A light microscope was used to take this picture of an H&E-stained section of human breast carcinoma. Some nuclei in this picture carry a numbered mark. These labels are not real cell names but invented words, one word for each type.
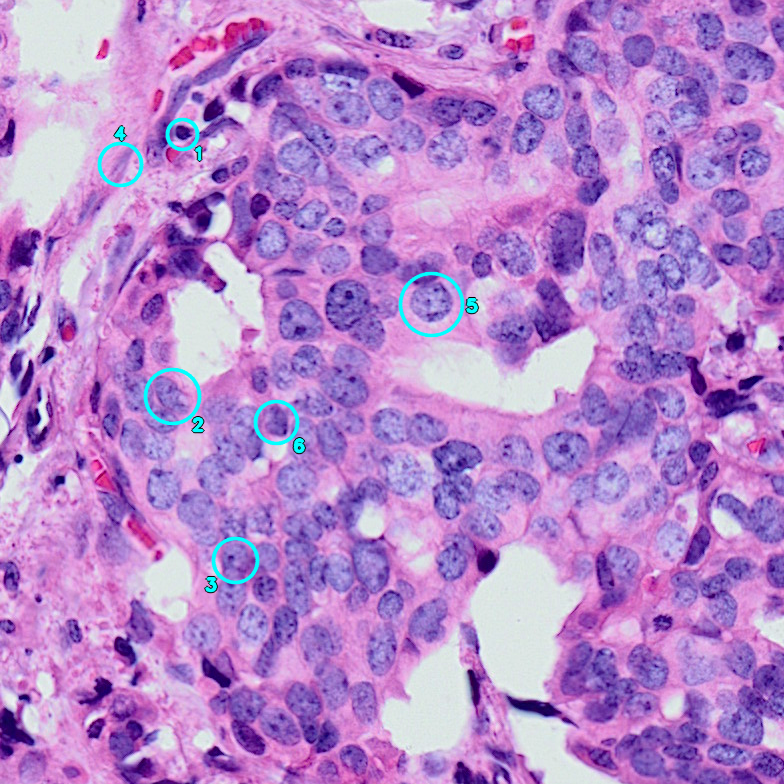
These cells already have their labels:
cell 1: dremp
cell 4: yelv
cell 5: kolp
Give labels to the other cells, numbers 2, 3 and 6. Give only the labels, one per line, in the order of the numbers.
kolp
kolp
kolp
